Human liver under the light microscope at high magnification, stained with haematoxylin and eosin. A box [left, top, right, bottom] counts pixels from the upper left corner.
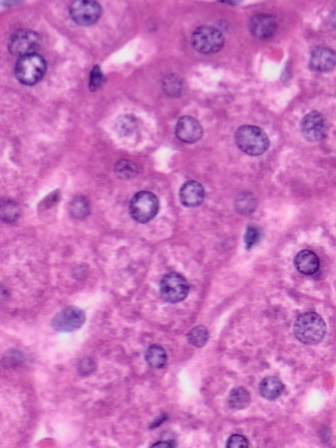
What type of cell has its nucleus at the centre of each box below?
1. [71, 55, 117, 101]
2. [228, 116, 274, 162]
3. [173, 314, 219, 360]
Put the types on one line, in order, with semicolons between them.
fibroblast or stellate cell; hepatocyte; Kupffer cell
